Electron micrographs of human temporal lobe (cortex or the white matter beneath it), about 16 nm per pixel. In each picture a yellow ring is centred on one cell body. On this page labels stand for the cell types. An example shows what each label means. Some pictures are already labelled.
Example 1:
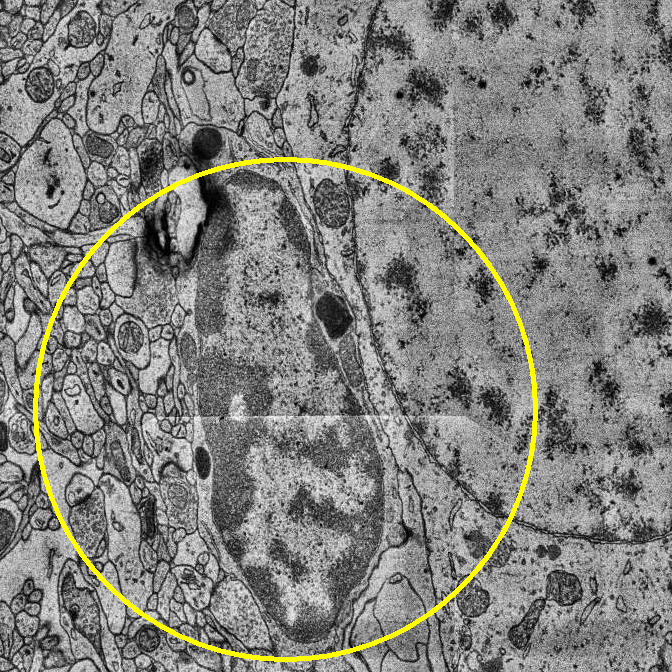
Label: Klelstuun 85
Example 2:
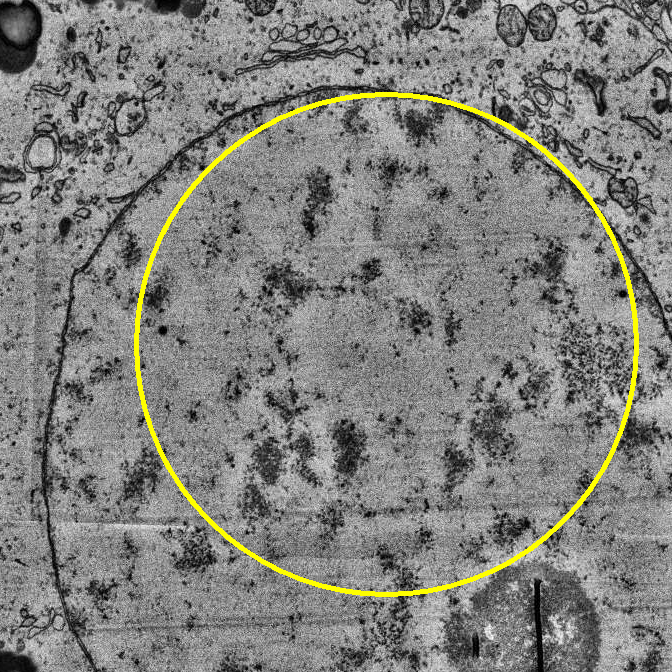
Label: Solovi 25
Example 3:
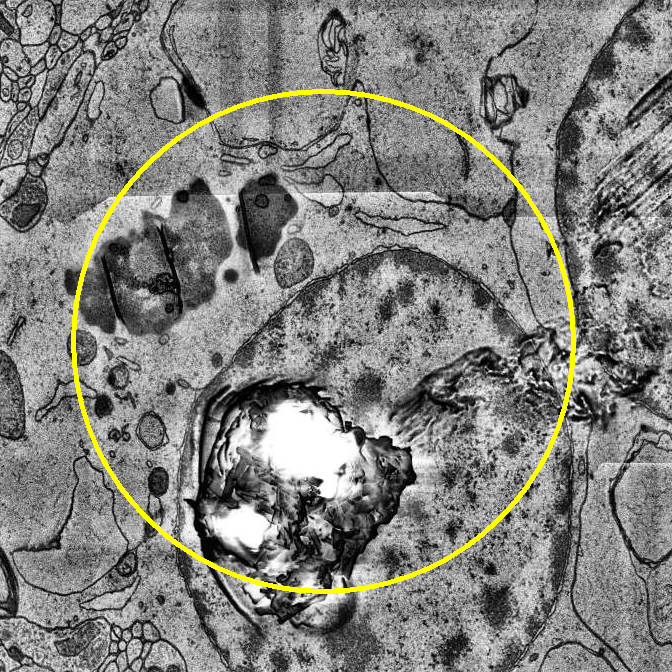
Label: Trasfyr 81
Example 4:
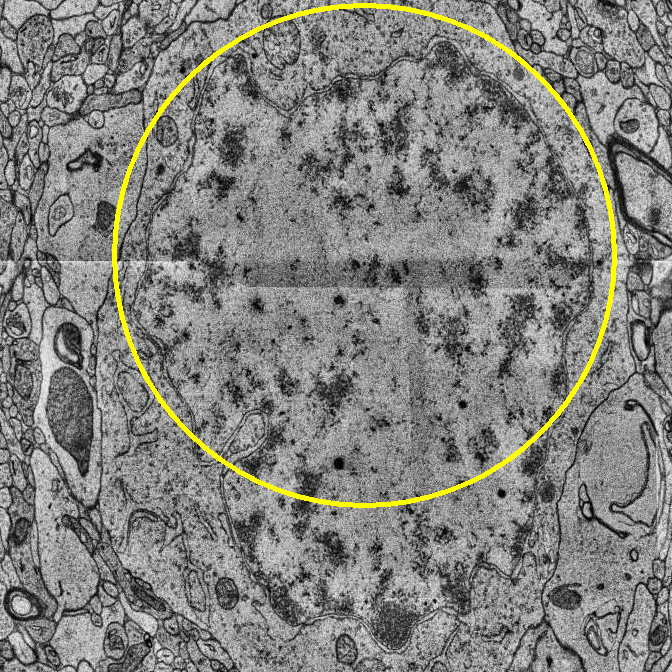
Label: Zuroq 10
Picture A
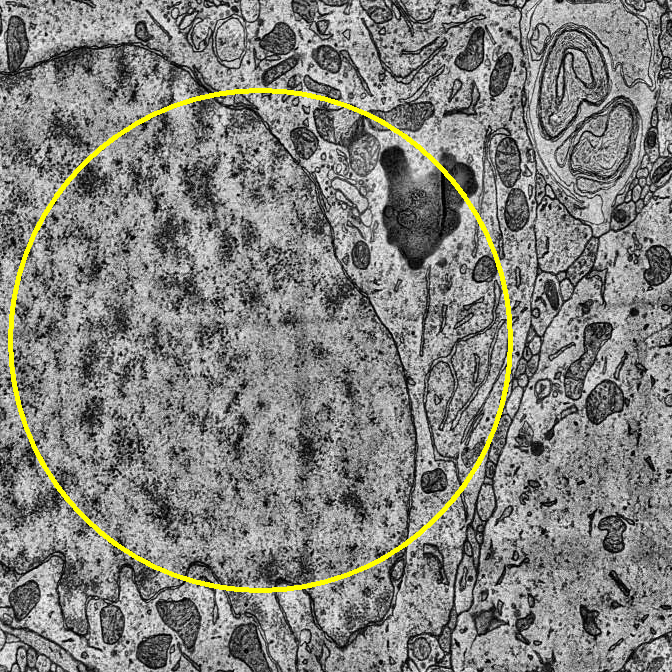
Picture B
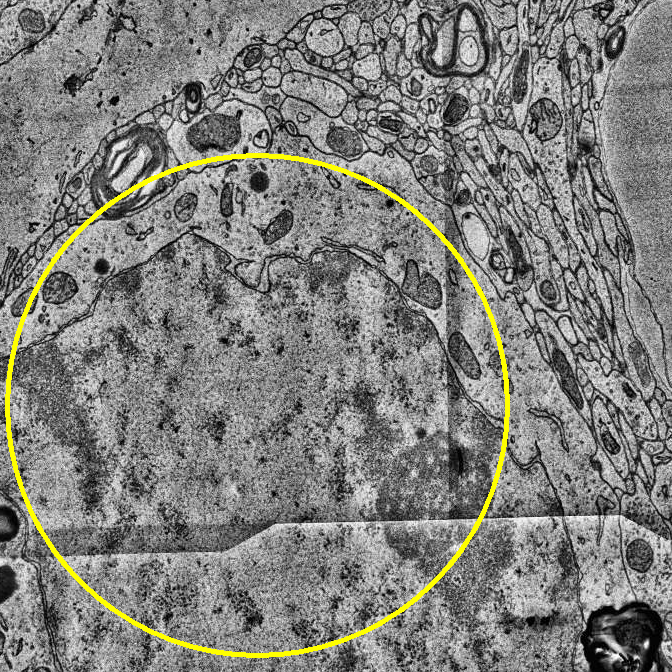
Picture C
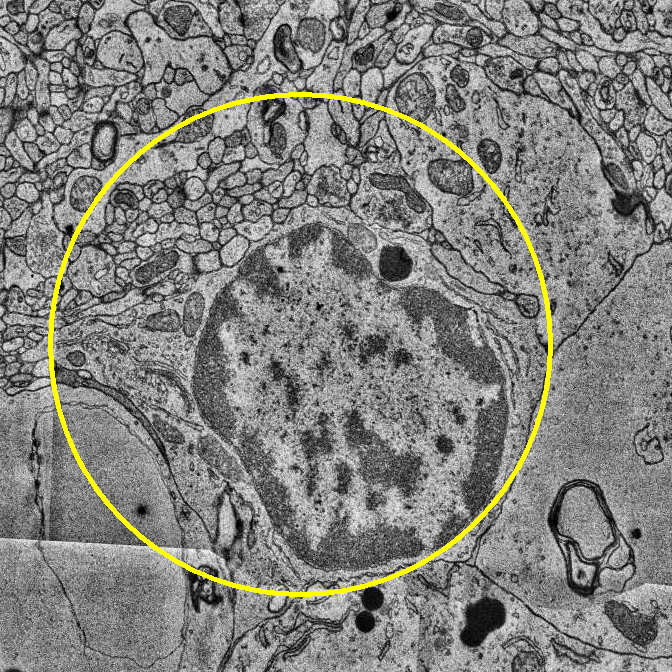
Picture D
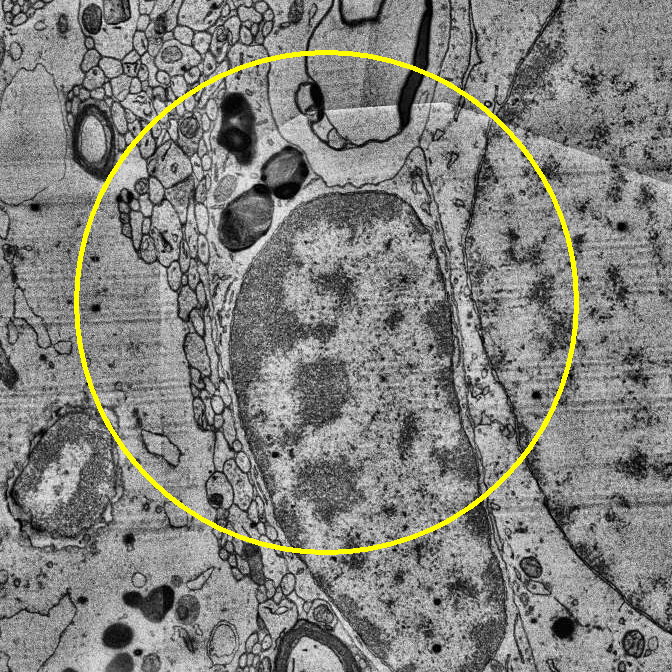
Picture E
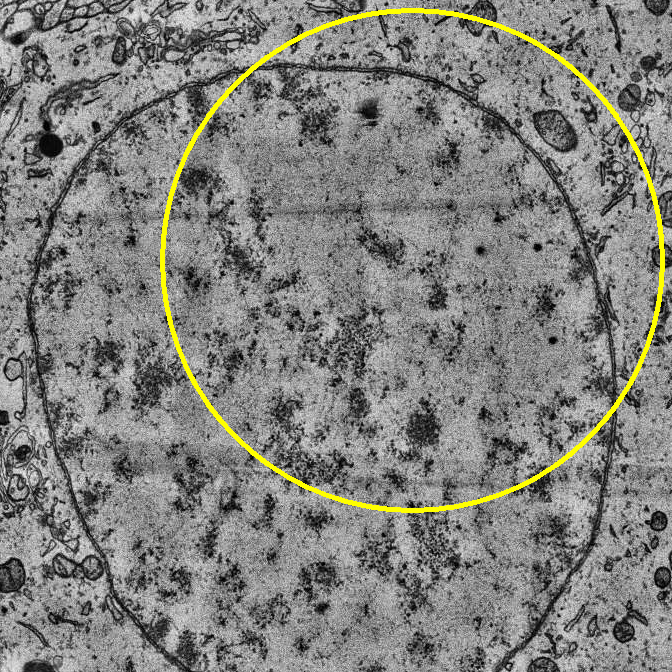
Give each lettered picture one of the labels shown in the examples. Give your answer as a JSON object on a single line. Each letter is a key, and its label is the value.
{"A": "Zuroq 10", "B": "Zuroq 10", "C": "Klelstuun 85", "D": "Klelstuun 85", "E": "Solovi 25"}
